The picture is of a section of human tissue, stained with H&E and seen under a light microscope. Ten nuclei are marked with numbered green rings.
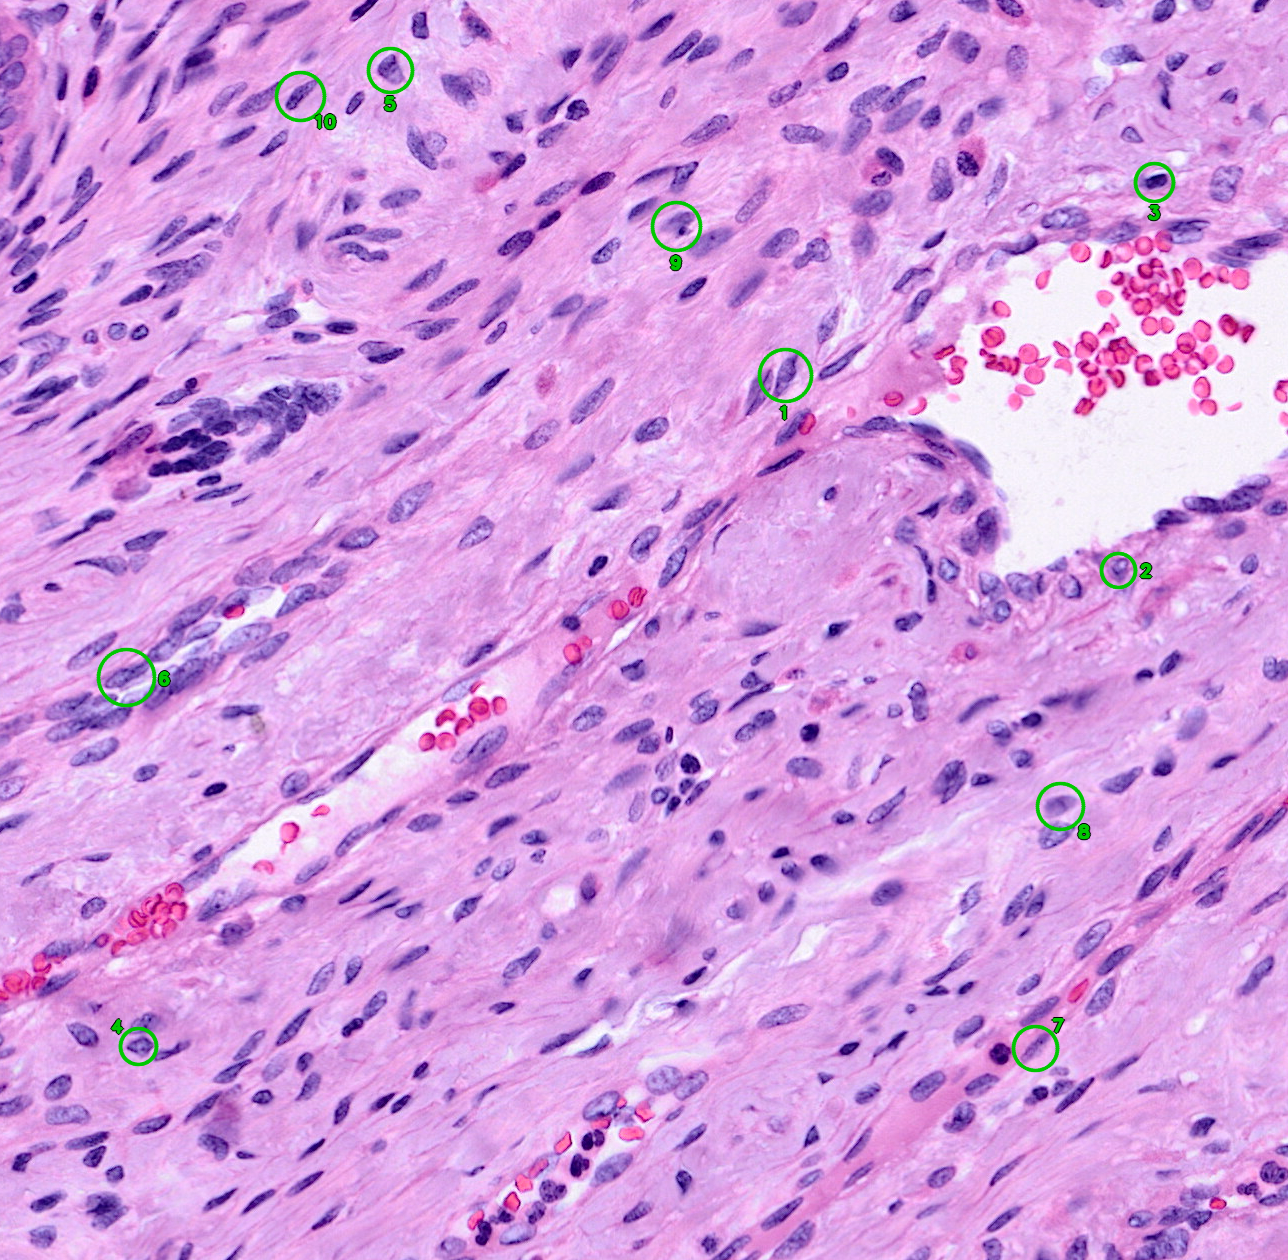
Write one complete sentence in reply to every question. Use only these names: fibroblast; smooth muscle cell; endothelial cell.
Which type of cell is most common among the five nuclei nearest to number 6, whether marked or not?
Of the five nuclei nearest to number 6, most belong to endothelial cells.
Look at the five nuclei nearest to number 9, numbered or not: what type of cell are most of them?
Fibroblasts account for more than half of the five nuclei nearest to number 9.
